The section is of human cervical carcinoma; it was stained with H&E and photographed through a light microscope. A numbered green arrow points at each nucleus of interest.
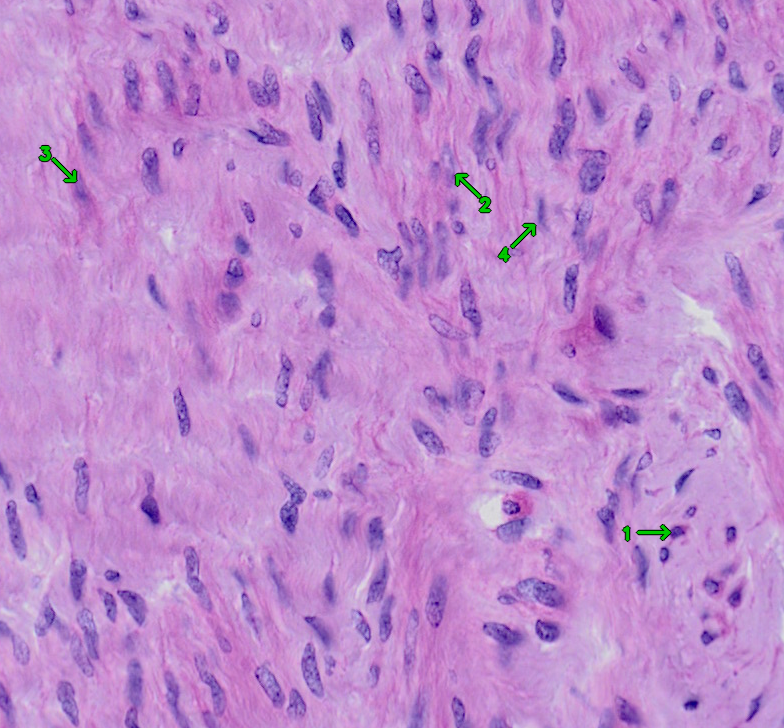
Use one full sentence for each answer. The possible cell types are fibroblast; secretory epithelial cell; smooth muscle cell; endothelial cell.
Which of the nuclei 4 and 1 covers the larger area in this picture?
At about 3 times the area of nucleus 1, nucleus 4 is the larger of the two.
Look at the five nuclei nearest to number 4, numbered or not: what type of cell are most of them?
Around number 4, most of the five nearest nuclei are those of smooth muscle cells.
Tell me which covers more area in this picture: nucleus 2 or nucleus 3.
Nucleus 2 is the larger one, covering about 1.5 times the area of nucleus 3.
